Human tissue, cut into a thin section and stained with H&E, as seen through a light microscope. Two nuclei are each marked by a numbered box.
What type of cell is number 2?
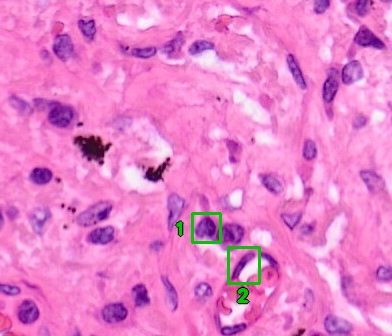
endothelial cell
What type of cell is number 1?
plasma cell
